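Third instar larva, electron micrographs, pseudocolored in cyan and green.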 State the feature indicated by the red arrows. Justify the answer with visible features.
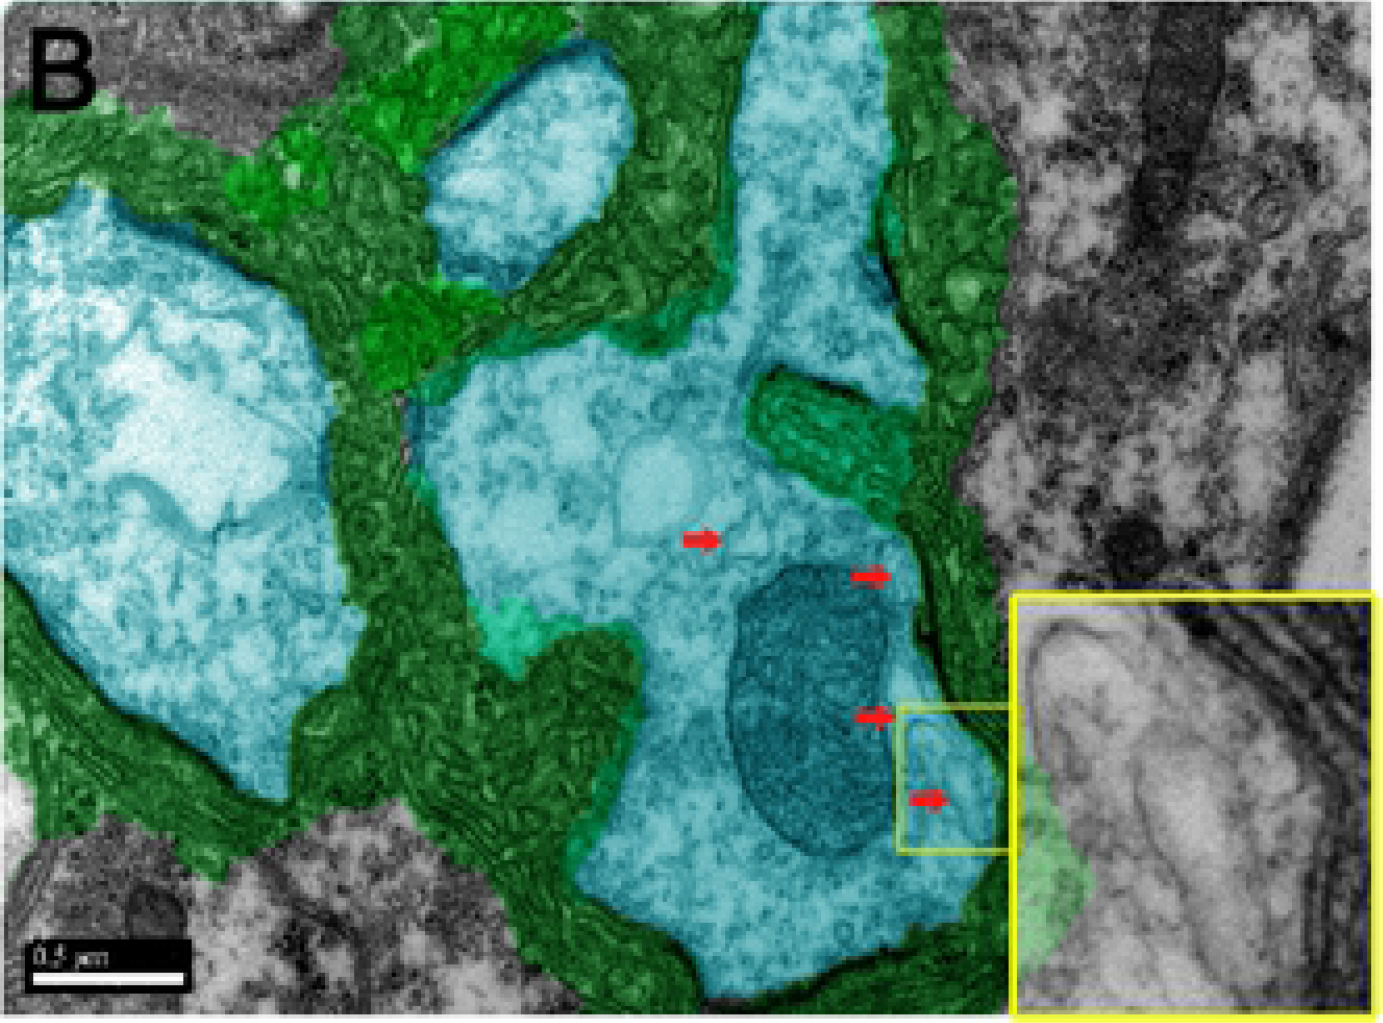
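Large endosome-like structures. The arrows point to large pale membrane-bounded profiles. These profiles are much larger than the small vesicles nearby.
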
